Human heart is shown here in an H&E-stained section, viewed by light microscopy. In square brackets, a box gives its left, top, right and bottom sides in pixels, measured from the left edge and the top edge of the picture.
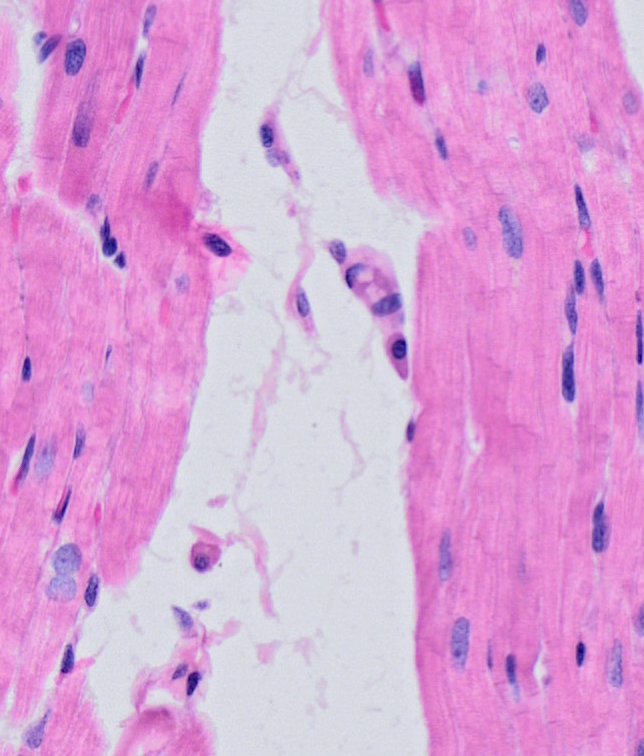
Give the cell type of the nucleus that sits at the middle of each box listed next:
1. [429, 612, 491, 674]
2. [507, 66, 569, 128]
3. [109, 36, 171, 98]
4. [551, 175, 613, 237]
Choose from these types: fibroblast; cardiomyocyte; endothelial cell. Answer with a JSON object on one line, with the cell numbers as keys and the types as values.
{"1": "cardiomyocyte", "2": "cardiomyocyte", "3": "endothelial cell", "4": "endothelial cell"}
